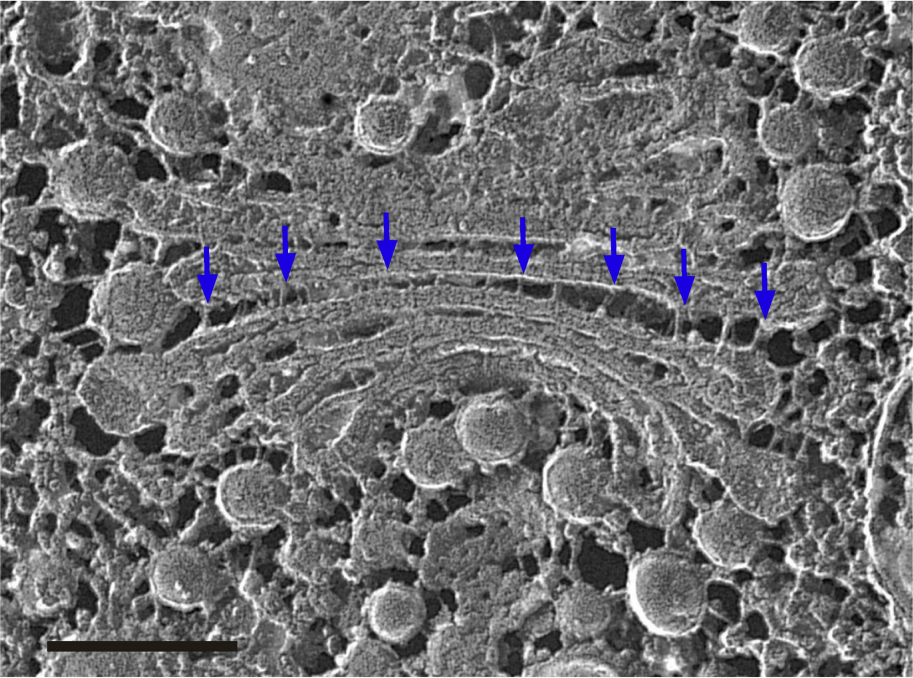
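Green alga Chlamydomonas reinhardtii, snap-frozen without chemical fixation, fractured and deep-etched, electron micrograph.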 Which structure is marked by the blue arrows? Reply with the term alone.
bridges between the cisternae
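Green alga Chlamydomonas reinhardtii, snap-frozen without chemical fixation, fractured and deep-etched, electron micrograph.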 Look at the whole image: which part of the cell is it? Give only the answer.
Golgi apparatus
